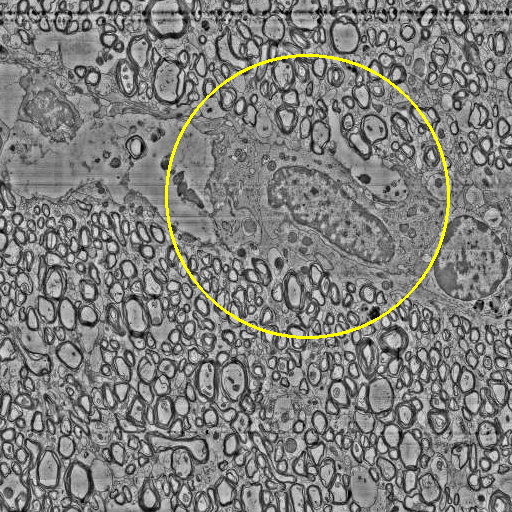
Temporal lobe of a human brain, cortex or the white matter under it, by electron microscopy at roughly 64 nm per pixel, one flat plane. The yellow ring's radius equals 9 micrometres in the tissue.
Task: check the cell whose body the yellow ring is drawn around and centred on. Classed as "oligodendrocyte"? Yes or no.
Yes, it is classed that way.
